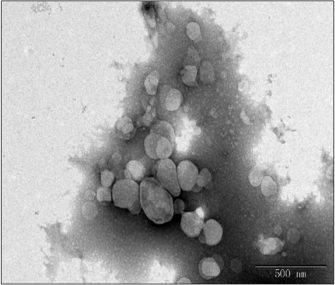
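The vesicles are round to slightly oval and bounded by a thin rim. Their interiors appear pale against the darker surrounding deposit. They vary in size, most measuring roughly one to two hundred nanometres when compared with the scale bar, with a few smaller ones scattered at the edges.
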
